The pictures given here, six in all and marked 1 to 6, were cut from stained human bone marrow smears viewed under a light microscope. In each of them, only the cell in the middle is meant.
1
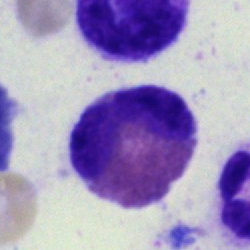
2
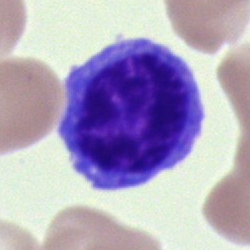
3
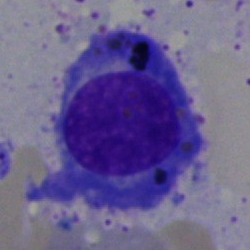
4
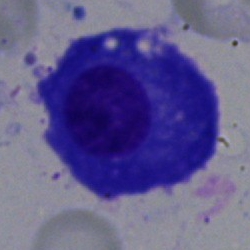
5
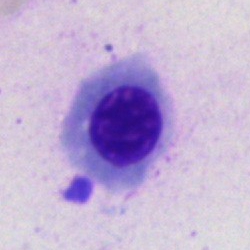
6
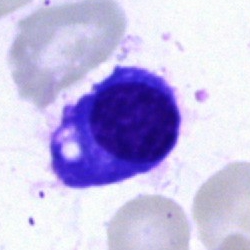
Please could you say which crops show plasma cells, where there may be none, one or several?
2, 3, 4, 6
